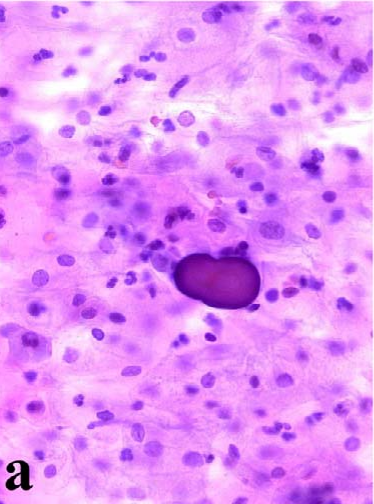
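This smear shows sheets of flat squamous cells with broad, pale purple-pink cytoplasm and small, round to oval nuclei. Scattered among them are many small cells with dark, lobed or compact nuclei, consistent with inflammatory cells. Near the centre lies a single dense, smooth, dark purple oval concretion, much larger than any nucleus and without a nucleus of its own. It sits among the cells rather than inside one of them.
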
